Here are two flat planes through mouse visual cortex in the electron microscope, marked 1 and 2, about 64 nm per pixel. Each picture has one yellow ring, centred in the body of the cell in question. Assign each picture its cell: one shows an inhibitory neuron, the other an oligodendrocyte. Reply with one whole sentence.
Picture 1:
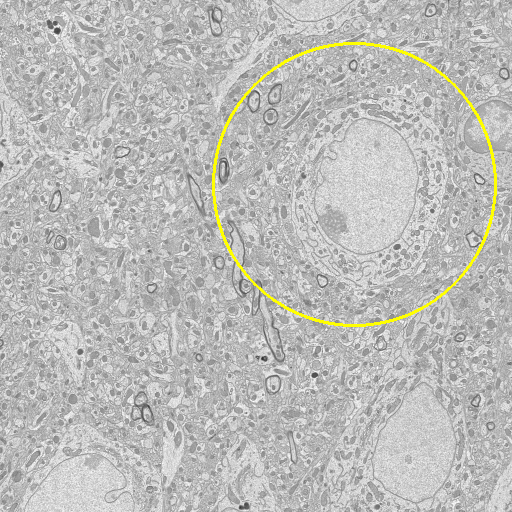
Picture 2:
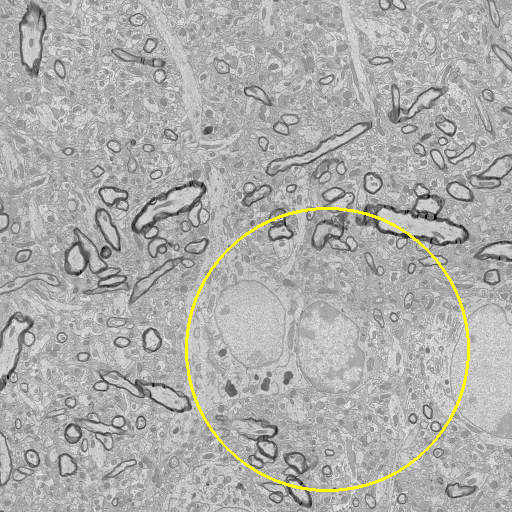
It is picture 1 that shows an inhibitory neuron, and picture 2 that shows an oligodendrocyte.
